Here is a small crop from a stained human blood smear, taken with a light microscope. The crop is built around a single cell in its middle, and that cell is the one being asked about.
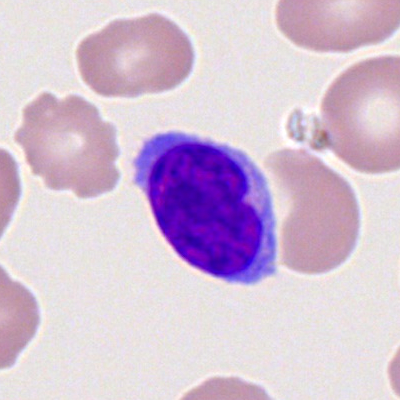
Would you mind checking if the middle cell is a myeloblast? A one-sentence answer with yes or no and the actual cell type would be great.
No, the central cell here is a lymphocyte; calling it a myeloblast is not right.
